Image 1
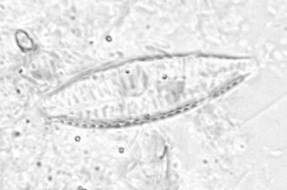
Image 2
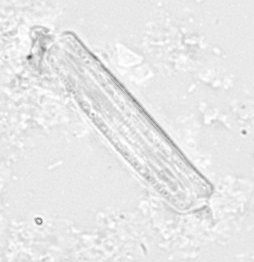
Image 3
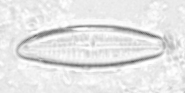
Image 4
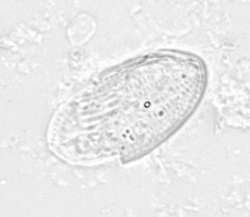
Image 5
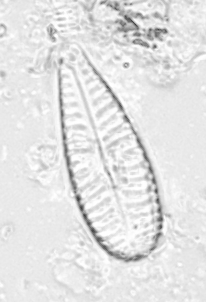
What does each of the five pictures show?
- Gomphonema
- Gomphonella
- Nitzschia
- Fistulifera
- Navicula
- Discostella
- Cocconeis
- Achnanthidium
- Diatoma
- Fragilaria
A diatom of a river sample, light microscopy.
Picture 1: Gomphonema
Picture 2: Nitzschia
Picture 3: Achnanthidium
Picture 4: Cocconeis
Picture 5: Gomphonella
